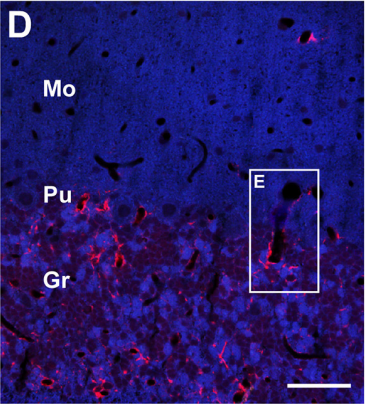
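This is cerebellar cortex at low magnification, showing its layers in cross section. The upper part is a broad, pale layer with few nuclei crossed by dark tubular vessel profiles. Red fibrous threads are scattered through the lower dense layer and along the row of larger cells, and red also outlines some of the vessels.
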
